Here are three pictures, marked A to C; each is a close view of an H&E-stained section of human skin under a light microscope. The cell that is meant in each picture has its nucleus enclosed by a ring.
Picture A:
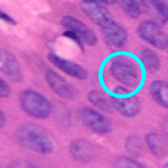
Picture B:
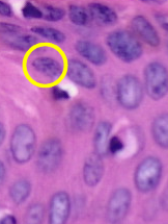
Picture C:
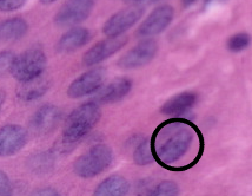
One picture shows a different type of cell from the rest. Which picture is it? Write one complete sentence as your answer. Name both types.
Picture A differs, because its cell is a suprabasal keratinocyte and the rest are basal keratinocytes.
